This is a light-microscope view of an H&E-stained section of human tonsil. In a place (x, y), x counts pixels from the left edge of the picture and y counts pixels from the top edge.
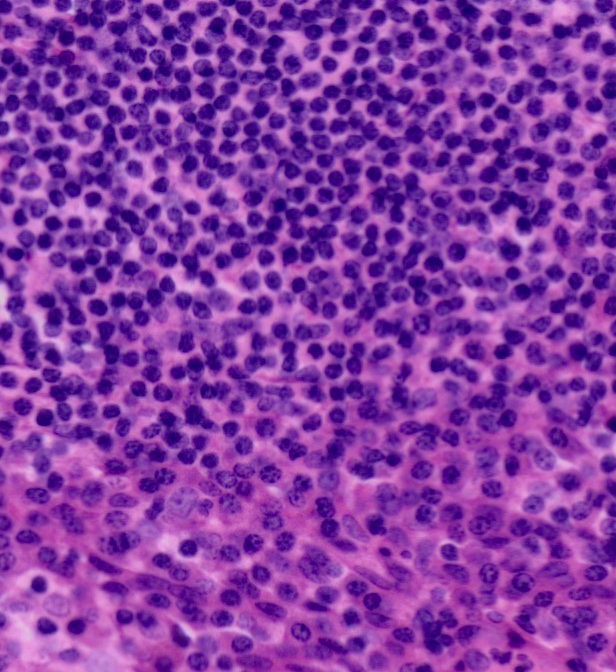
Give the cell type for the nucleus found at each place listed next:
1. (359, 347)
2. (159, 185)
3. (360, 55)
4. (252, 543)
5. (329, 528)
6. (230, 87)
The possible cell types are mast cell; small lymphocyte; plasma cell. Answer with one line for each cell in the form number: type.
1: small lymphocyte
2: small lymphocyte
3: small lymphocyte
4: plasma cell
5: plasma cell
6: small lymphocyte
